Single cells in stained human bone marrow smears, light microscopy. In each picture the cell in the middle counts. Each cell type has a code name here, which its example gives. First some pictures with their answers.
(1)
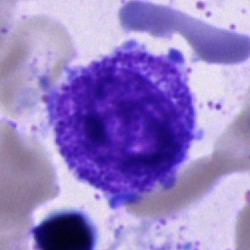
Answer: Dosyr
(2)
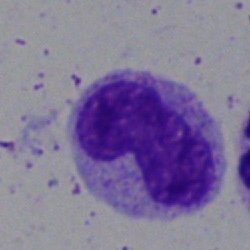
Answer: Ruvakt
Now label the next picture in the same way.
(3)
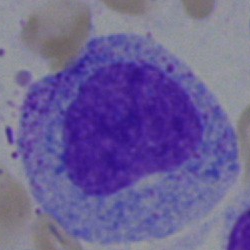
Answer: Dosyr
